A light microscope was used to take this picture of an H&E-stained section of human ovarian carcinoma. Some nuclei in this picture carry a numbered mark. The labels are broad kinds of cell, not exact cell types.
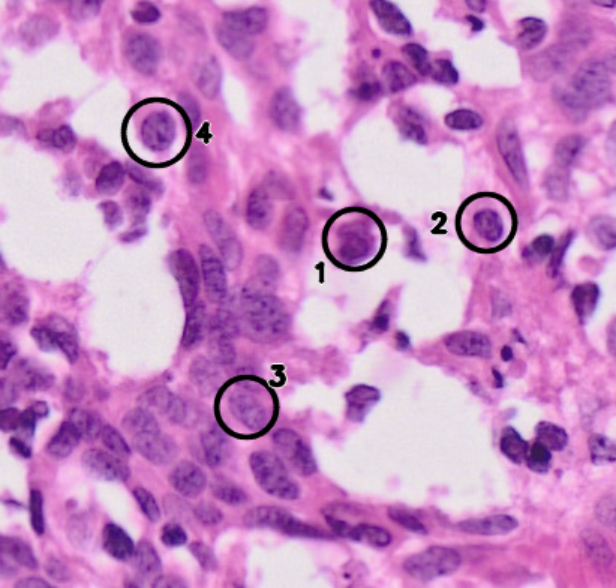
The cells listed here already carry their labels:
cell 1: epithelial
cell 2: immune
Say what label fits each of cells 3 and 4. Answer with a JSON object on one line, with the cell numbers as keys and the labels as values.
{"3": "epithelial", "4": "immune"}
